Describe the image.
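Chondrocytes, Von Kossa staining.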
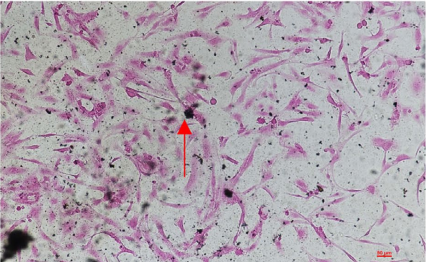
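The cells are spindle-shaped to stellate, with slender processes that reach neighbouring cells. They are crowded in the left half of the field and sparser to the right. Black granular deposits are scattered over and between the cells. A large black clump lies at the lower left corner, and a red arrow marks a dark deposit at the centre-left.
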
